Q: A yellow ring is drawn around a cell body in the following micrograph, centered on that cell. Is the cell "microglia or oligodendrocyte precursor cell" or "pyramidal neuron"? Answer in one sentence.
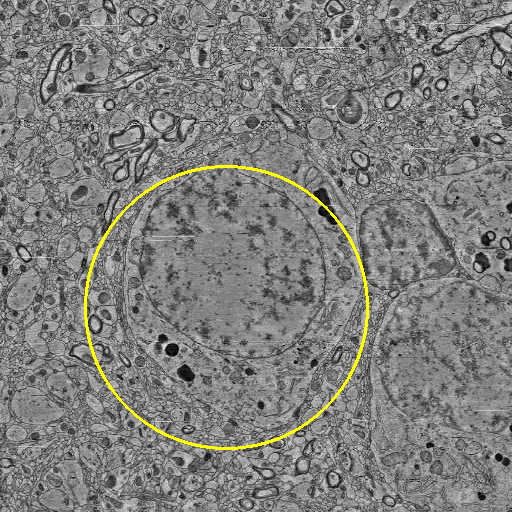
The cell in the center of the ring is a pyramidal neuron.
